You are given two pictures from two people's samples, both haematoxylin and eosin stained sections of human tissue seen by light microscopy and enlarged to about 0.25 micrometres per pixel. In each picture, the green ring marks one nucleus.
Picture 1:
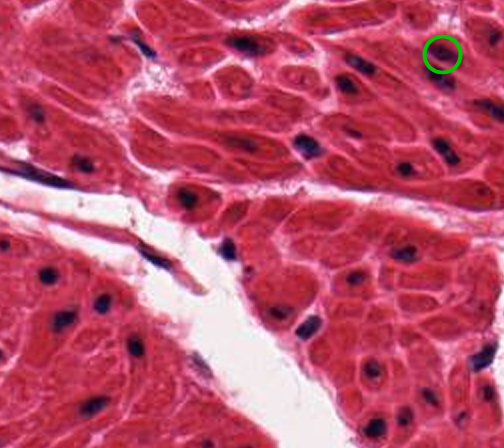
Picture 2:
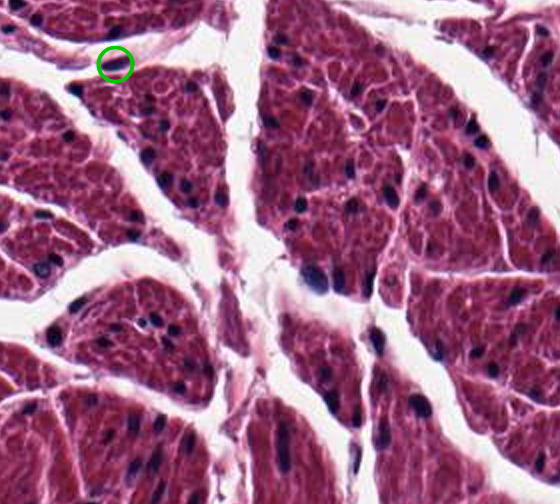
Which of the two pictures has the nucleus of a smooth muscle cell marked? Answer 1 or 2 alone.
1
